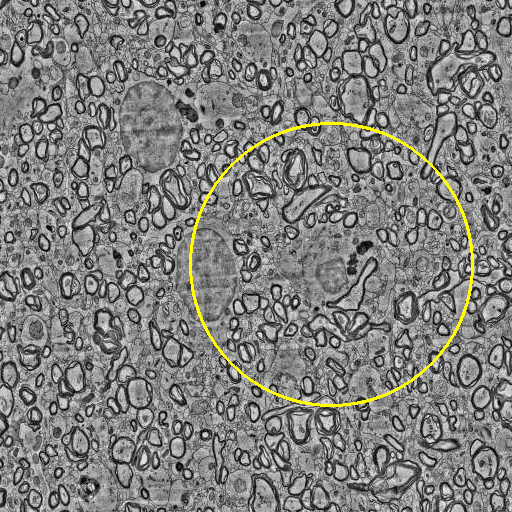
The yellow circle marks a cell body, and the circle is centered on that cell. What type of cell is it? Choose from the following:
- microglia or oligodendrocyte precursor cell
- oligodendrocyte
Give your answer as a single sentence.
This cell body belongs to an oligodendrocyte.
